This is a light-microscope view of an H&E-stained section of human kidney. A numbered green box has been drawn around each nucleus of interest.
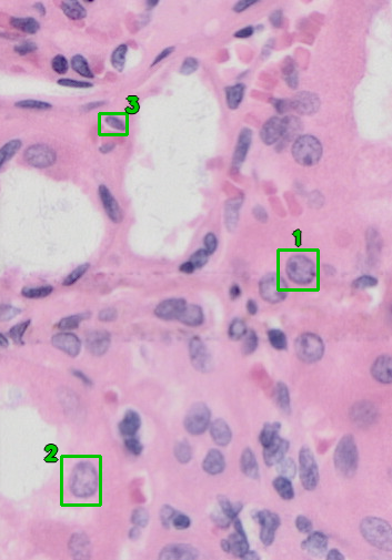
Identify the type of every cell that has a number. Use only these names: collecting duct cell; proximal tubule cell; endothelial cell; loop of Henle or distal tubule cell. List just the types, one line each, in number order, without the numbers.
proximal tubule cell
proximal tubule cell
endothelial cell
